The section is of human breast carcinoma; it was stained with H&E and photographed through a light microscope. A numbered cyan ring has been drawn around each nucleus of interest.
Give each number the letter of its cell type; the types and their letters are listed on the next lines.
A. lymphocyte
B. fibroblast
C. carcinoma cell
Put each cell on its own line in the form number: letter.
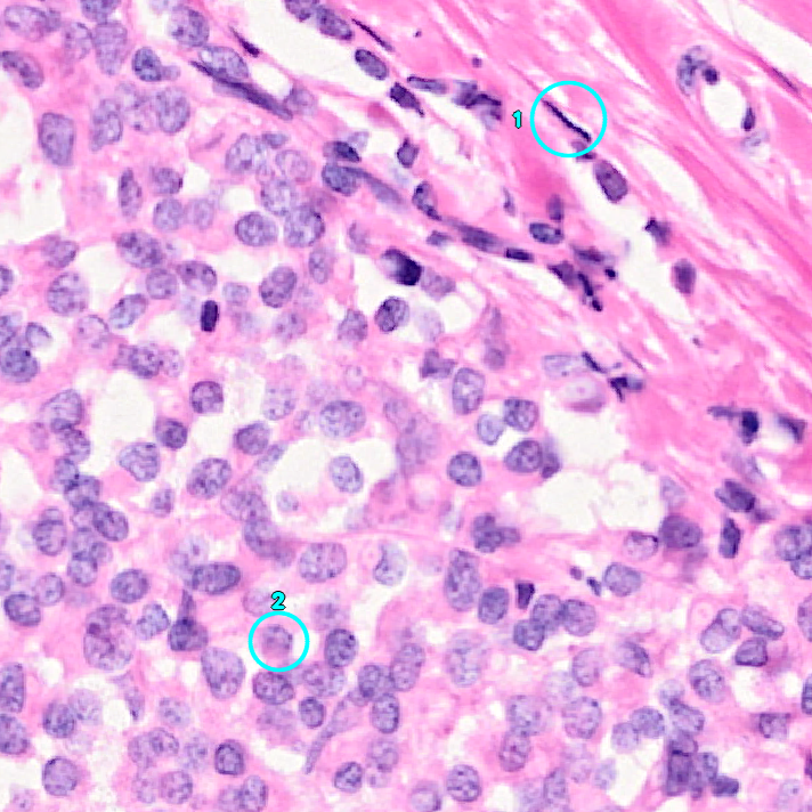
1: B
2: C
